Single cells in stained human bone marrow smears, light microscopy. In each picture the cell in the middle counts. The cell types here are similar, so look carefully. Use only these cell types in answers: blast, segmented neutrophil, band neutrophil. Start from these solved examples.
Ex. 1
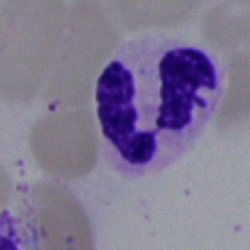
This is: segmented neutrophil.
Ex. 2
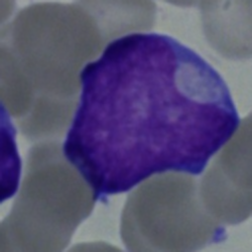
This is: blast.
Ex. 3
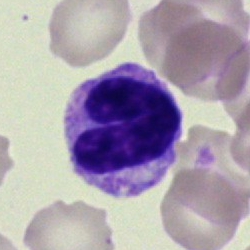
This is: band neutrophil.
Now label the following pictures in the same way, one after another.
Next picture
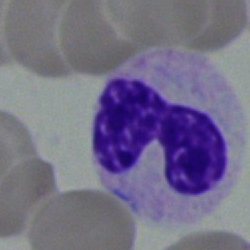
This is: band neutrophil.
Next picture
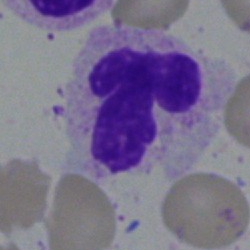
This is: segmented neutrophil.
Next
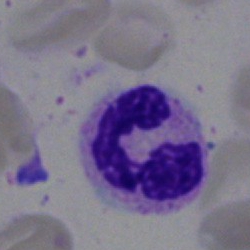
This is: segmented neutrophil.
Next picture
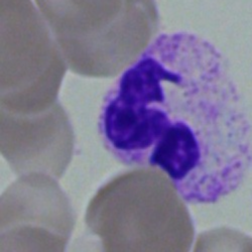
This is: segmented neutrophil.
